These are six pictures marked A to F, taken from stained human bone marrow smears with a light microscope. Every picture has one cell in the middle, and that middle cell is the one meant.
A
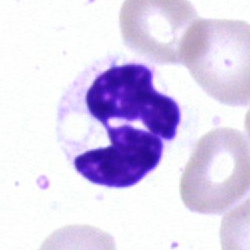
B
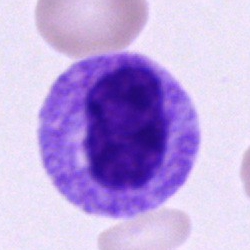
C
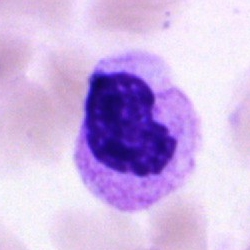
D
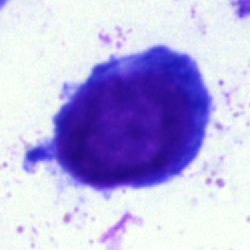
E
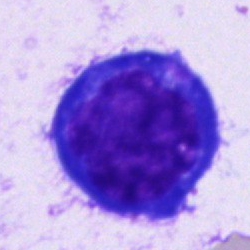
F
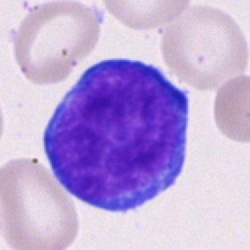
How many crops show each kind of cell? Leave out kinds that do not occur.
proerythroblast: 3
segmented neutrophil: 2
myelocyte: 1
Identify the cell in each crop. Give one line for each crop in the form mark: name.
A: segmented neutrophil
B: myelocyte
C: segmented neutrophil
D: proerythroblast
E: proerythroblast
F: proerythroblast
